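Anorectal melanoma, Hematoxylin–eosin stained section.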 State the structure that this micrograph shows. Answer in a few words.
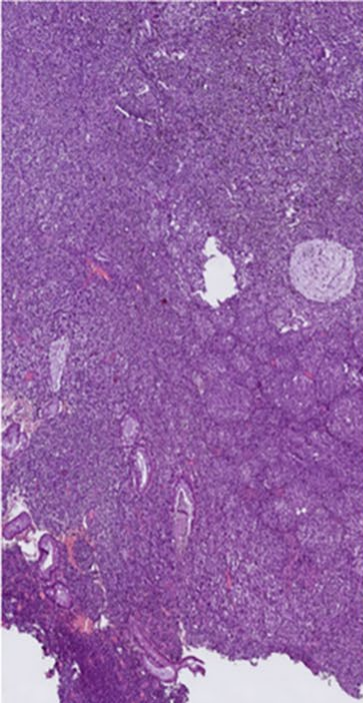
Solid nests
